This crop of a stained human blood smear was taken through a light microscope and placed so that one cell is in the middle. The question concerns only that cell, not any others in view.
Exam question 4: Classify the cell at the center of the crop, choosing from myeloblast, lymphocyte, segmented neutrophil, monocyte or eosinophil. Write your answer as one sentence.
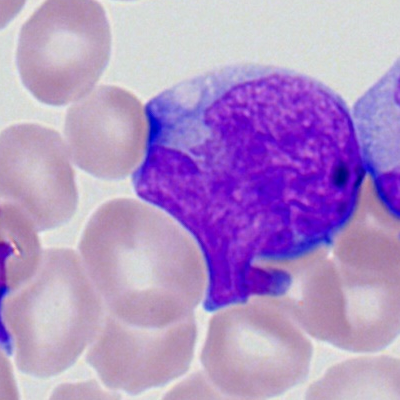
The target cell in the middle of the crop is a myeloblast.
